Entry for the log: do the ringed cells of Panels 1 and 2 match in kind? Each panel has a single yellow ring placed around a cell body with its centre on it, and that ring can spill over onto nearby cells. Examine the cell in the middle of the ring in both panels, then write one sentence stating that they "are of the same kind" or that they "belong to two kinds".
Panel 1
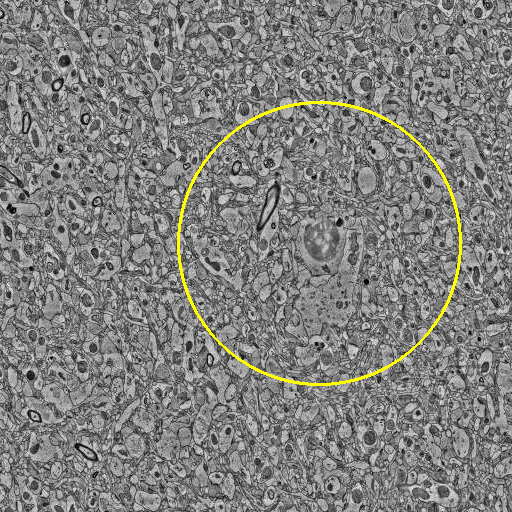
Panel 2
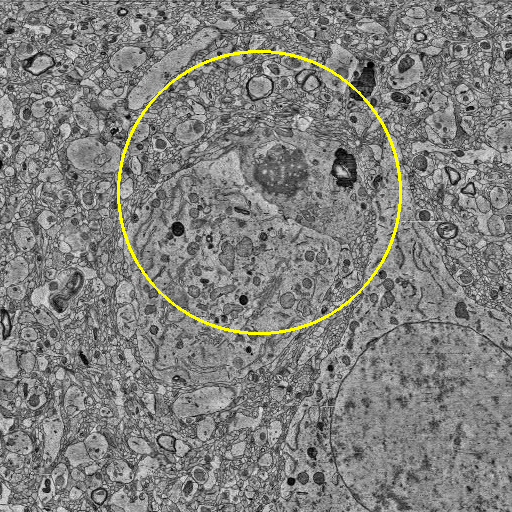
The centre cell of Panel 1's ring and that of Panel 2's ring are of the same kind.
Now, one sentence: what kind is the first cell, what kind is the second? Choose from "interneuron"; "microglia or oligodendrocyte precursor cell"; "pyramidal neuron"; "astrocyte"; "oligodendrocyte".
Each of the two rings surrounds an oligodendrocyte.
